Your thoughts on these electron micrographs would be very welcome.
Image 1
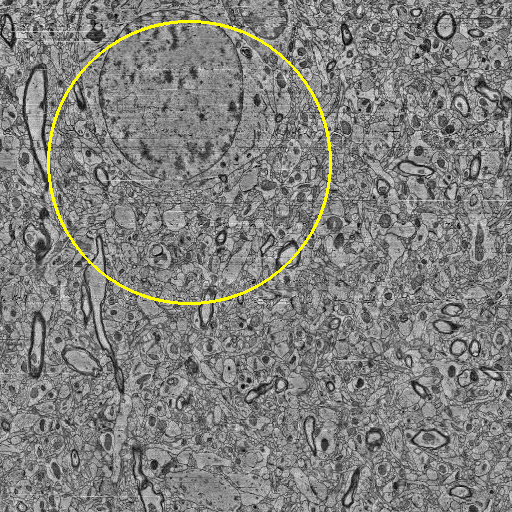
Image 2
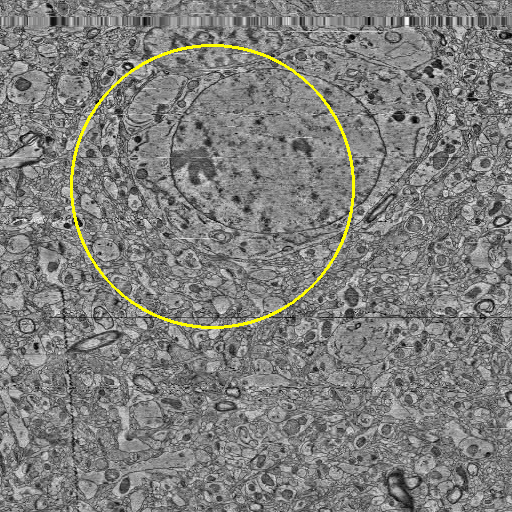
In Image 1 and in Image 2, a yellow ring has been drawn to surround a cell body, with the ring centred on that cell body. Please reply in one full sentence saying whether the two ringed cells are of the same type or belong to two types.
The ringed cells in Image 1 and Image 2 are of the same type.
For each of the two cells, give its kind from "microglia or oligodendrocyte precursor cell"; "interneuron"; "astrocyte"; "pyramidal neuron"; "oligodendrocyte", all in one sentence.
Both the first and the second picture show a pyramidal neuron in the ring.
